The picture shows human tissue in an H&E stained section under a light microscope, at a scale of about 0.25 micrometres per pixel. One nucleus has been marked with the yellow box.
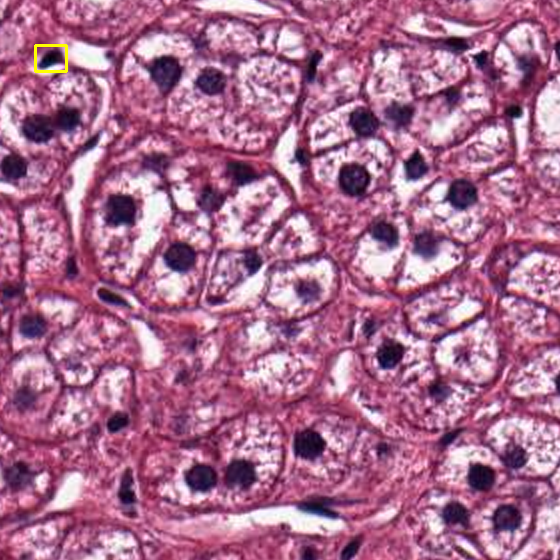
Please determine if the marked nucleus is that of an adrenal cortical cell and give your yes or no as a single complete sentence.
No, the marked nucleus, which belongs to a supporting cell, is not part of an adrenal cortical cell.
